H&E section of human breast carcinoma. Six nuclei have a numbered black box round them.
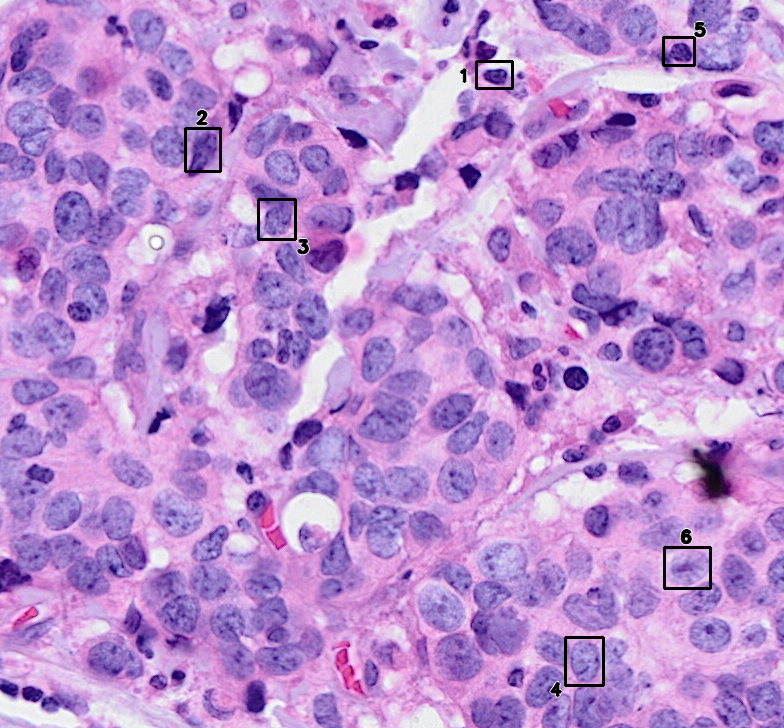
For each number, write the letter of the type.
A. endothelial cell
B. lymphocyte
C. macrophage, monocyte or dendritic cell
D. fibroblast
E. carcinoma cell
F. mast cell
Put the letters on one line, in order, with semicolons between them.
B; E; E; E; B; E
